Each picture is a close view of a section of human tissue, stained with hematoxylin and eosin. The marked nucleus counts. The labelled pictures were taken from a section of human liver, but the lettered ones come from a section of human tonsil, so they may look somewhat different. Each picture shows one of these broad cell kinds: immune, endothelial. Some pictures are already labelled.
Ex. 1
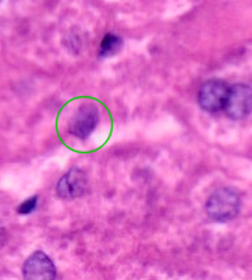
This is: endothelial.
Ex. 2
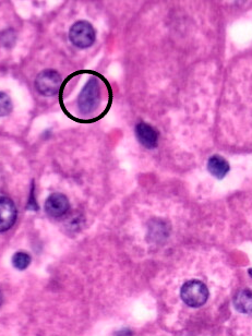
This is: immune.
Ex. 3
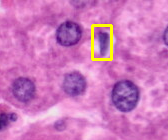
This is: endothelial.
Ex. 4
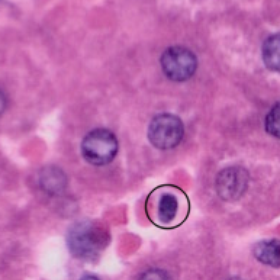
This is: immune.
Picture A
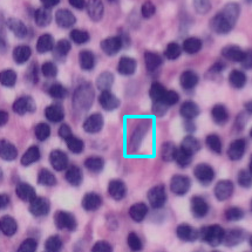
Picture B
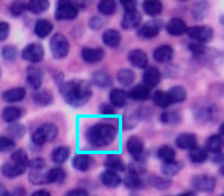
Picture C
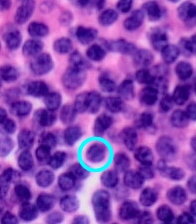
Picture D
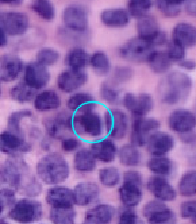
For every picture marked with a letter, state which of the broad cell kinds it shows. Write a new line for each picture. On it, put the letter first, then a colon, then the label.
A: endothelial.
B: immune.
C: immune.
D: immune.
